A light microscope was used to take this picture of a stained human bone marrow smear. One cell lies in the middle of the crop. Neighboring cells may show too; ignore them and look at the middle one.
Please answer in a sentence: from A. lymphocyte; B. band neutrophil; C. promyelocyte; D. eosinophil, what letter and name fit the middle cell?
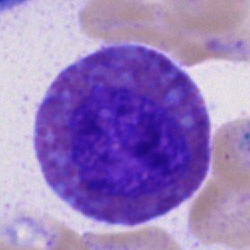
The correct identification, given in option D, is that the central cell is an eosinophil.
